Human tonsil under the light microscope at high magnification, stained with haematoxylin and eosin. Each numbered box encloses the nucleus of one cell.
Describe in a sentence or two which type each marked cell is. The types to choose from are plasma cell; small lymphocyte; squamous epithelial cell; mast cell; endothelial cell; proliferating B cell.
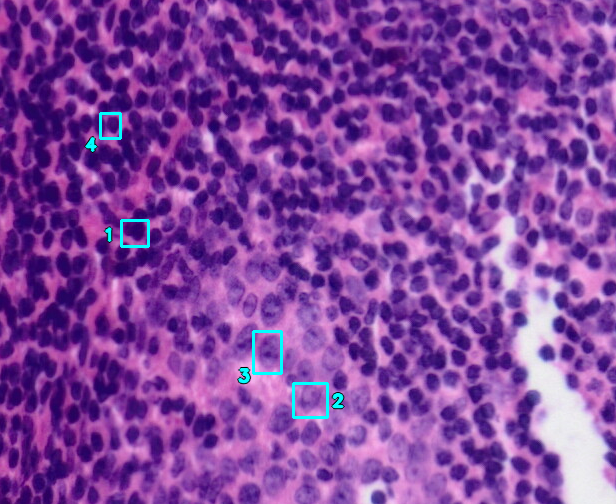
Cell 1 is a small lymphocyte, cell 2 is a proliferating B cell, cell 3 is a proliferating B cell and cell 4 is a small lymphocyte.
